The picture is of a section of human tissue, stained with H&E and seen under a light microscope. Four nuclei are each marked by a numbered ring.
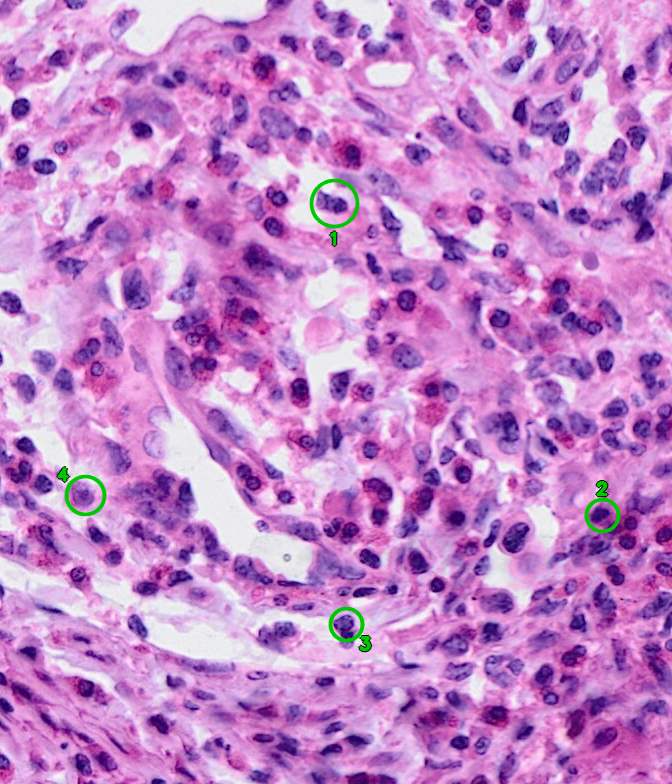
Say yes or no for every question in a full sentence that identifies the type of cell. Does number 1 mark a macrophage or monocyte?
No, cell 1 is a lymphocyte and should not be called a macrophage or monocyte.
